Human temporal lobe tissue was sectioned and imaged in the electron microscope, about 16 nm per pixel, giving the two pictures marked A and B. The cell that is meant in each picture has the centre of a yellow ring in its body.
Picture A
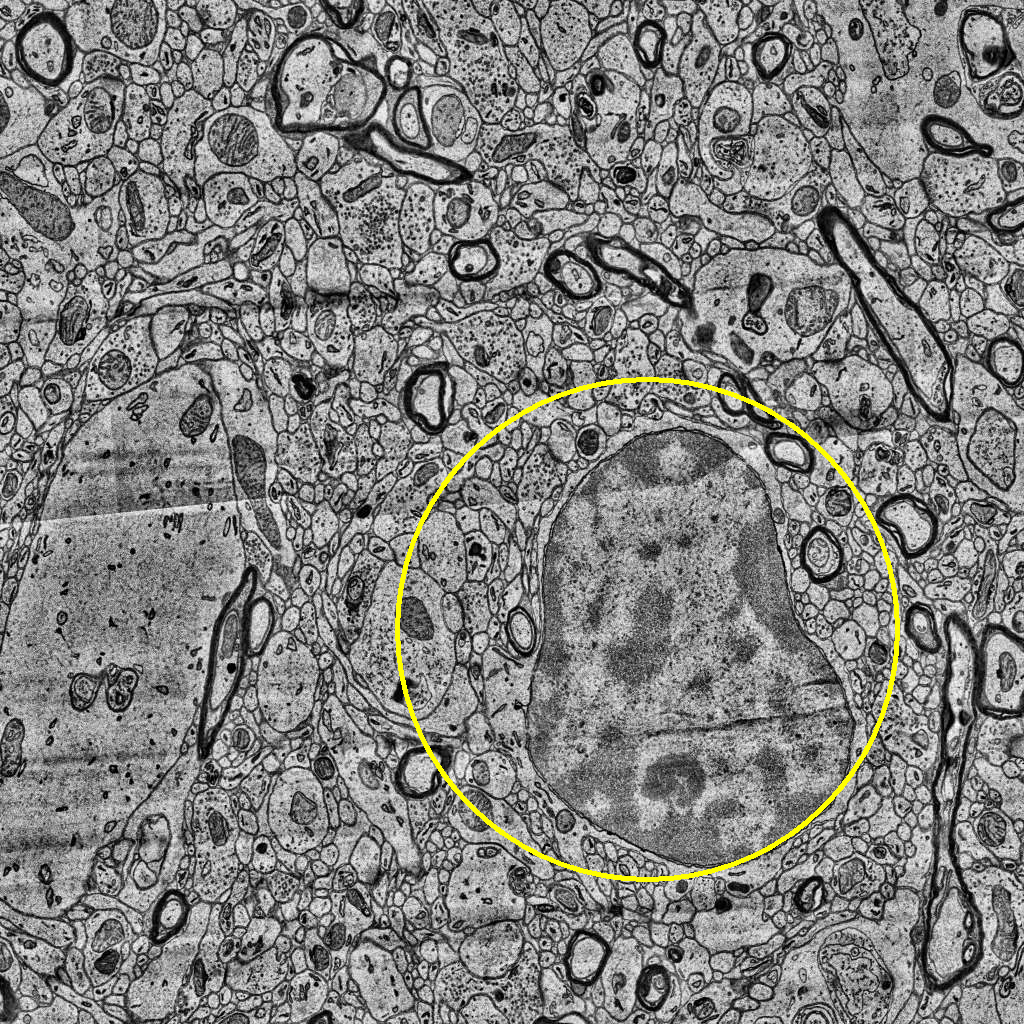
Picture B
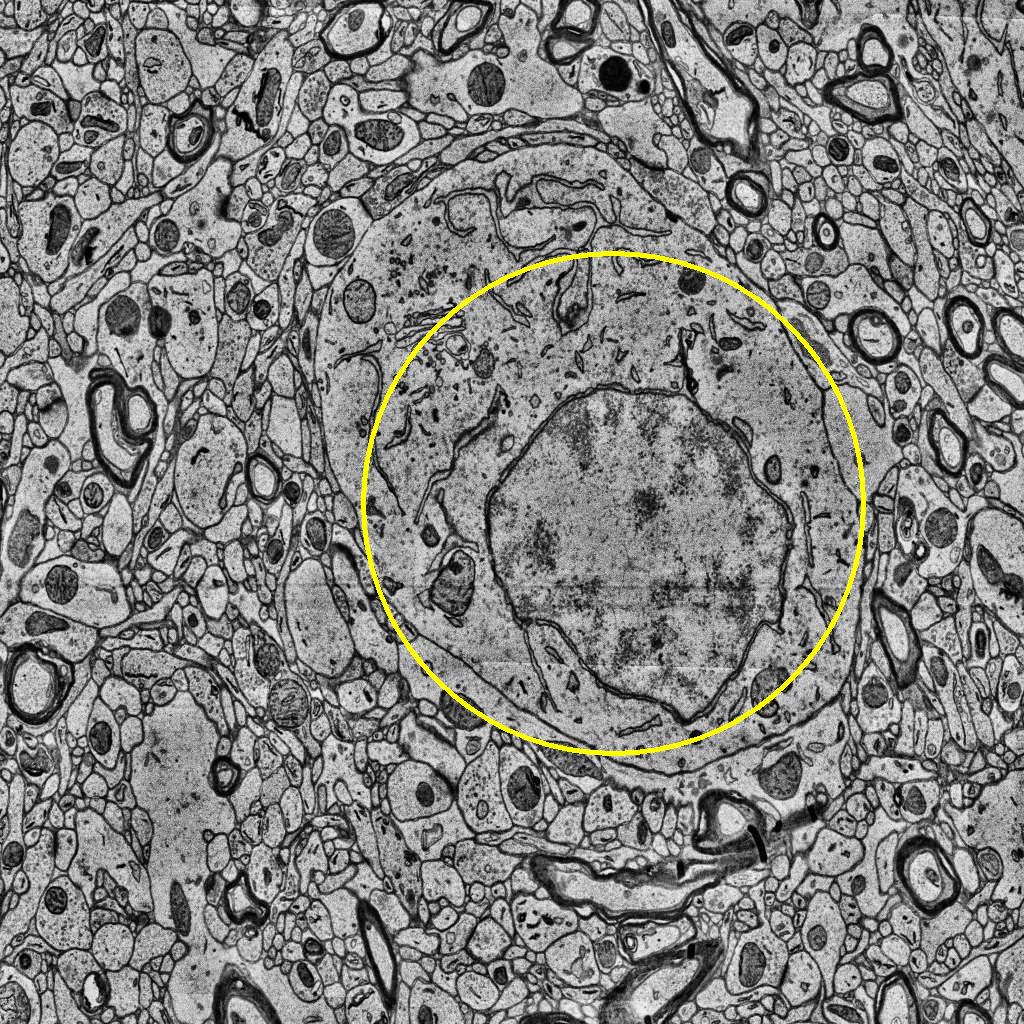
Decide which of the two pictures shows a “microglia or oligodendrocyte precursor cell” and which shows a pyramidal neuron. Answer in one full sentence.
The cell in picture A is a “microglia or oligodendrocyte precursor cell”, and the one in picture B is a pyramidal neuron.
